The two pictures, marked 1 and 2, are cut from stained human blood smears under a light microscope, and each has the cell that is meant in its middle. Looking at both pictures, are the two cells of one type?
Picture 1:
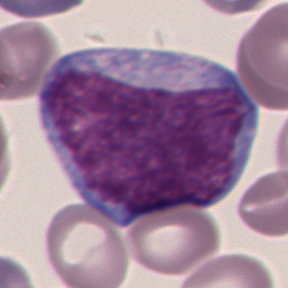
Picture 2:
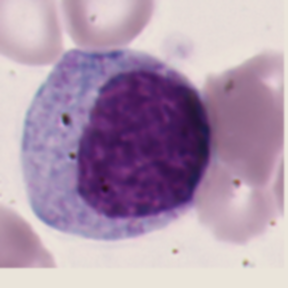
yes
